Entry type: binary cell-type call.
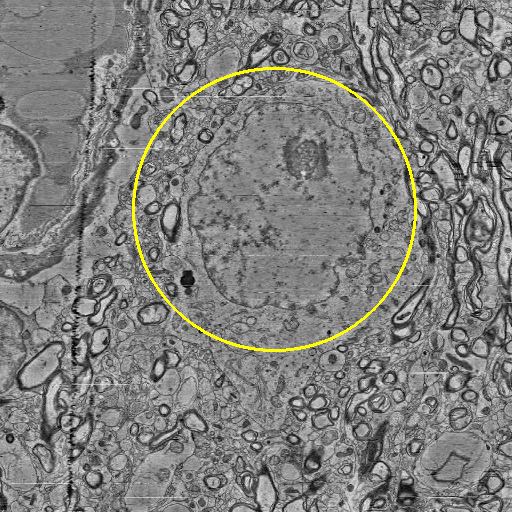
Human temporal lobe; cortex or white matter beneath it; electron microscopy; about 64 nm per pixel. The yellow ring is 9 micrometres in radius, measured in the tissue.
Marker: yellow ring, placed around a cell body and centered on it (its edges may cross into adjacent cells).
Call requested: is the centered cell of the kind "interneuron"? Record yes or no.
yes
